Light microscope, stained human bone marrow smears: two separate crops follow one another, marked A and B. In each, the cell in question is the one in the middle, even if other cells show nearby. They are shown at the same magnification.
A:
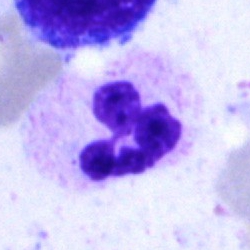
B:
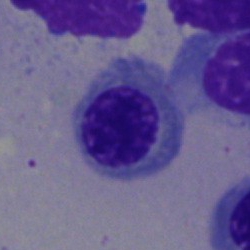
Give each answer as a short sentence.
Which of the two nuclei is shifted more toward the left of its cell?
Seen within its cell, the nucleus in picture B lies further toward the left.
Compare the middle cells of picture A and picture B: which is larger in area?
The cell in picture A is larger, with about 1.5 times the area of the one in picture B.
